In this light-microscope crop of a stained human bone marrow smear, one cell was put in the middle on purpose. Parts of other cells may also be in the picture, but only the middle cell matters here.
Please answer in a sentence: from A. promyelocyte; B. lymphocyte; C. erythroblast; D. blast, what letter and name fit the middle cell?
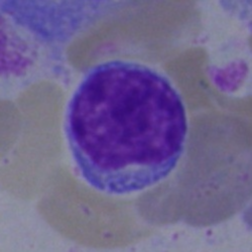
Option B is correct here, and the cell in the middle is a lymphocyte.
